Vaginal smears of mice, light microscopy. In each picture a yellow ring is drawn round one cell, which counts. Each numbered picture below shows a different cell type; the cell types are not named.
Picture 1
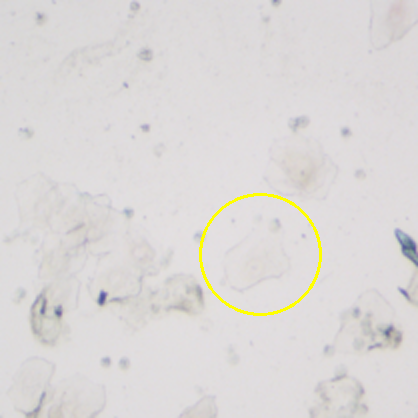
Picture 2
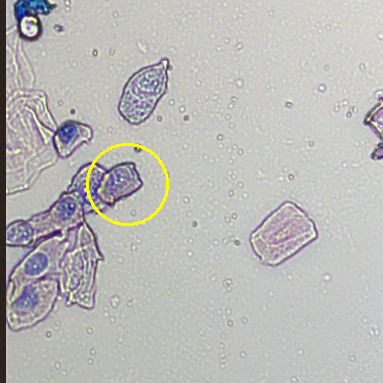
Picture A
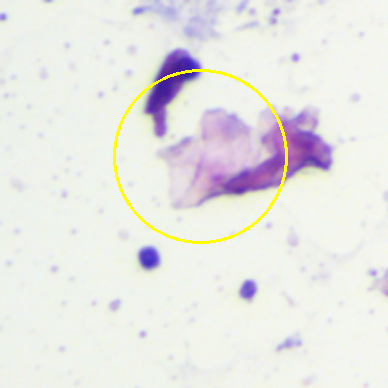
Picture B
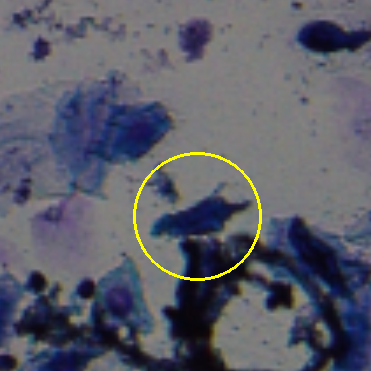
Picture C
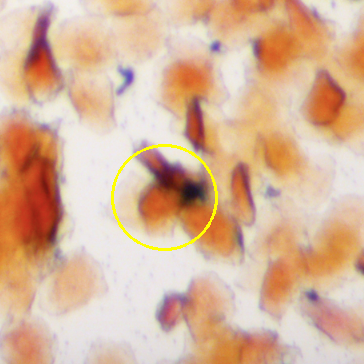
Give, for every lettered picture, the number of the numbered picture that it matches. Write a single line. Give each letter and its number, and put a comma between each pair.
A 1, B 1, C 1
